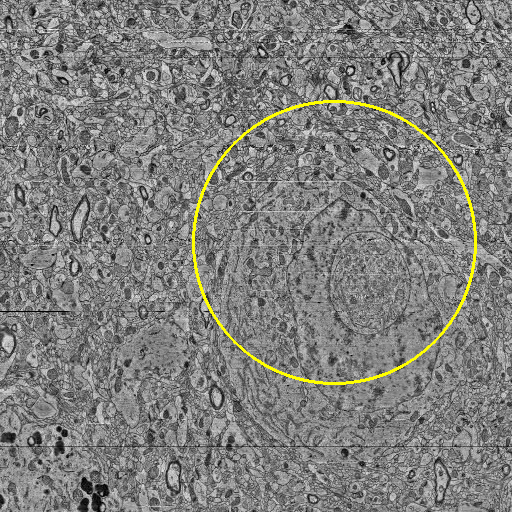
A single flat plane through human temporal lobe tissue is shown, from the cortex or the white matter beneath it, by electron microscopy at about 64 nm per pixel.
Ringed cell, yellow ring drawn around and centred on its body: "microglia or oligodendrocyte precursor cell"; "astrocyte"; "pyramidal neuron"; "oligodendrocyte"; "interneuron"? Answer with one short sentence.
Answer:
This ringed cell is an interneuron.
